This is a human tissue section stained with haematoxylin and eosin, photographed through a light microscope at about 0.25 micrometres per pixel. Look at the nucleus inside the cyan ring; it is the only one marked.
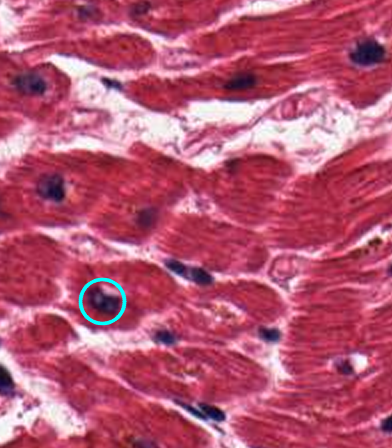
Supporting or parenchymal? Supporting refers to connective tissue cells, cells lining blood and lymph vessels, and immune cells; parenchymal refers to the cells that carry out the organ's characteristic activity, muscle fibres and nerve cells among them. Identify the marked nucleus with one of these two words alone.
parenchymal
